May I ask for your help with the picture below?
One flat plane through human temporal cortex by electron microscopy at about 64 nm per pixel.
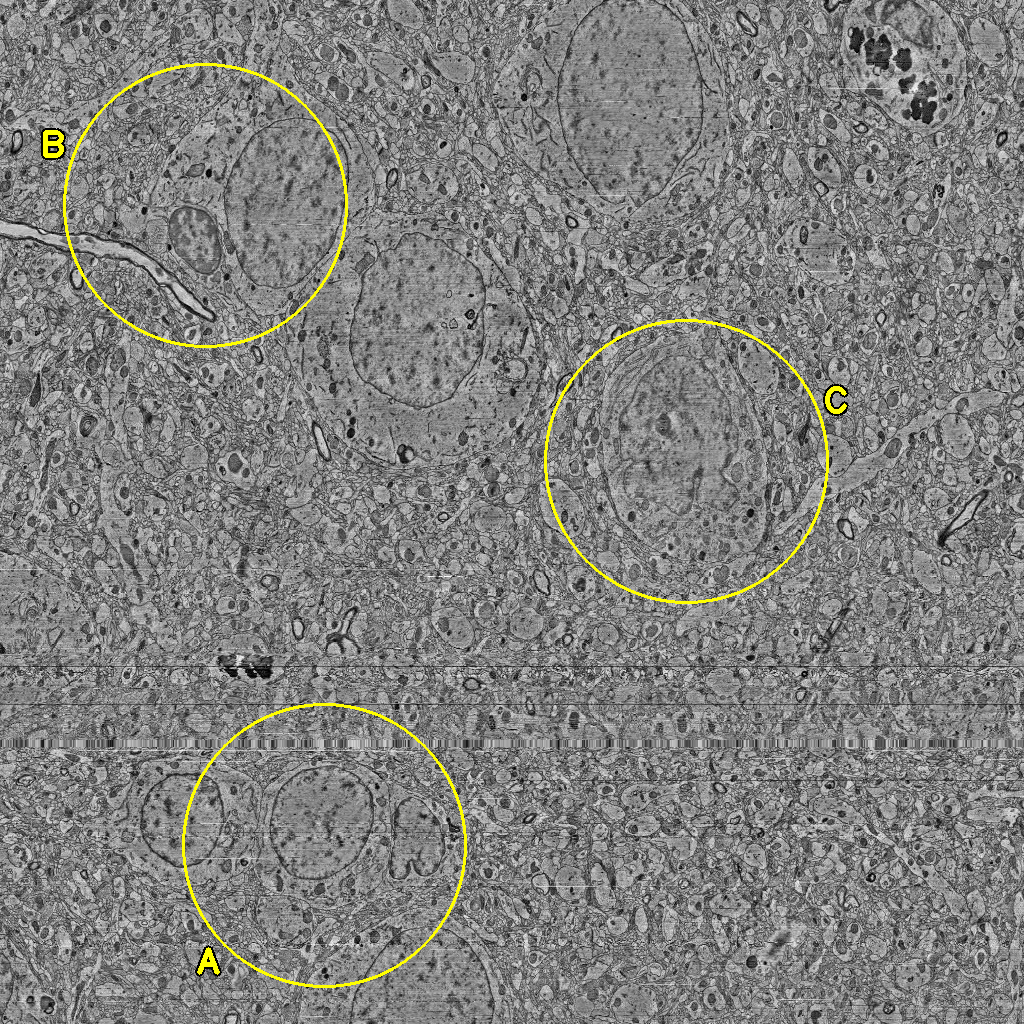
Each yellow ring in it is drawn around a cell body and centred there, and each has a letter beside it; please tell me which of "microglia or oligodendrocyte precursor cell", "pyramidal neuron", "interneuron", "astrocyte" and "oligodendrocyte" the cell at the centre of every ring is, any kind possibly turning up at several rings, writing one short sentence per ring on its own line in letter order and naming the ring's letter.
Ring A is drawn around the cell body of a pyramidal neuron.
Ring B is drawn around the cell body of a microglial cell or oligodendrocyte precursor cell.
Ring C is drawn around the cell body of an interneuron.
